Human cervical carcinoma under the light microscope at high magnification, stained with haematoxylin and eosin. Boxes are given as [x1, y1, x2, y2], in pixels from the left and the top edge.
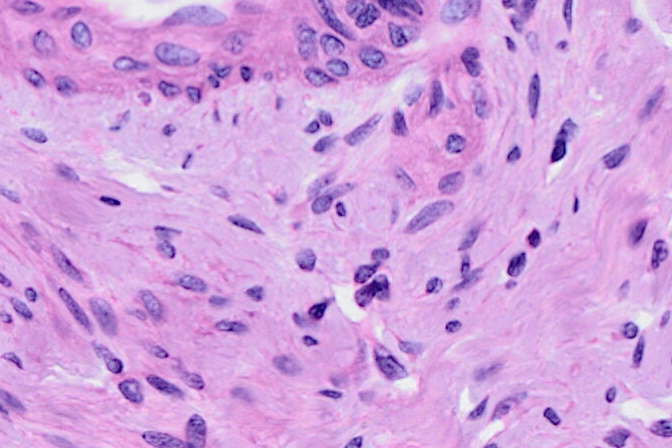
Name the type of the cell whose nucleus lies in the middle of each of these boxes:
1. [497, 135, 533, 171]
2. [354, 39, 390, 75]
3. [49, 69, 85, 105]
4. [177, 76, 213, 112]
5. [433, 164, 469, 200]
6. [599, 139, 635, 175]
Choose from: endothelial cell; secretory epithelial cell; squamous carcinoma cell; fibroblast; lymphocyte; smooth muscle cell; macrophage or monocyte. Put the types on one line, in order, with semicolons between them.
fibroblast; smooth muscle cell; smooth muscle cell; smooth muscle cell; smooth muscle cell; fibroblast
